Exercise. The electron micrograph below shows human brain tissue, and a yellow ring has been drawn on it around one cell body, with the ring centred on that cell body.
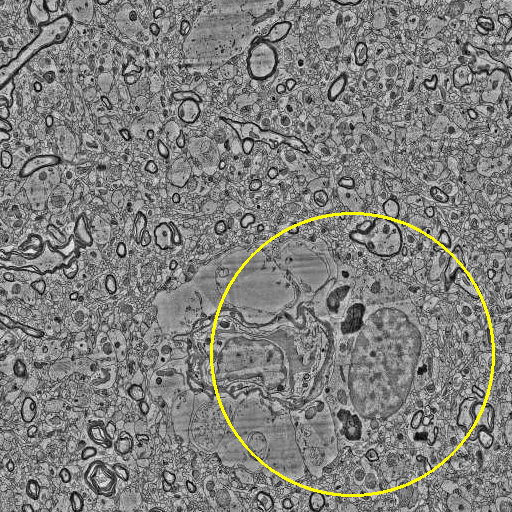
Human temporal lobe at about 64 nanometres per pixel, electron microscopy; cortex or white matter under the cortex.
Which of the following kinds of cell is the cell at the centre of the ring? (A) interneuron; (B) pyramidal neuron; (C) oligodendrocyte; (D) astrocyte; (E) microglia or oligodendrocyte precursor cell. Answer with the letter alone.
C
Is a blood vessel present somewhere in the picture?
Yes, a blood vessel shows in the picture.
